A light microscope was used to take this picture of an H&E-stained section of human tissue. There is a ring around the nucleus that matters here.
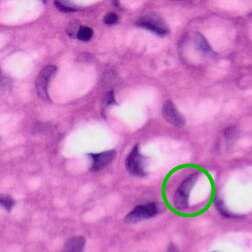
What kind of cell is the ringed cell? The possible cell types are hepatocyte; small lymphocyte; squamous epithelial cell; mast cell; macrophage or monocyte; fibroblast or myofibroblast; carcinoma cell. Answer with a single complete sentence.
As far as its identity is concerned, the ringed cell is a squamous epithelial cell.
